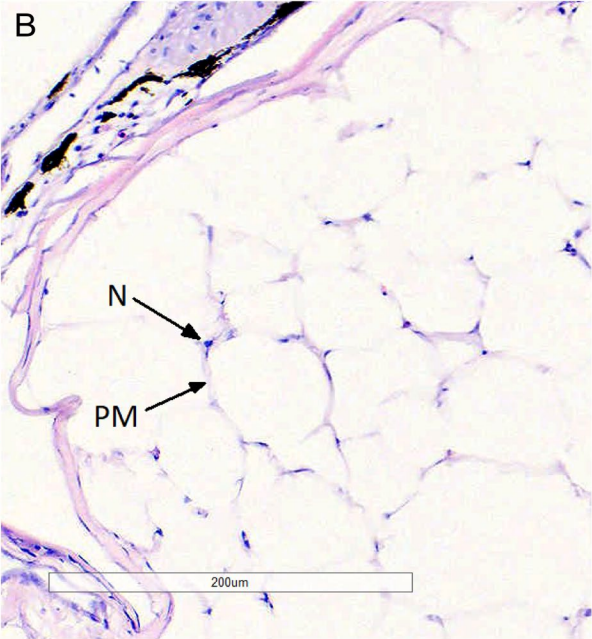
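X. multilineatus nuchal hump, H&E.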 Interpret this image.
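Adipocytes packed beneath the skin. Nuclei are small, dark blue and flattened, squeezed against the cell edge, often where several cells meet. Along the upper left lies the skin, with pink fibrous layers, a scale and black pigment cells, separated from the fat by a thin connective tissue band.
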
